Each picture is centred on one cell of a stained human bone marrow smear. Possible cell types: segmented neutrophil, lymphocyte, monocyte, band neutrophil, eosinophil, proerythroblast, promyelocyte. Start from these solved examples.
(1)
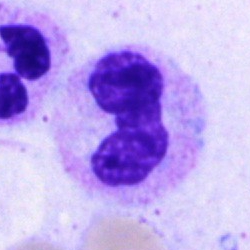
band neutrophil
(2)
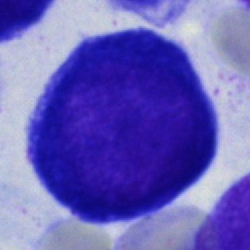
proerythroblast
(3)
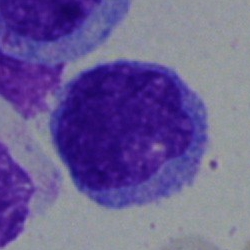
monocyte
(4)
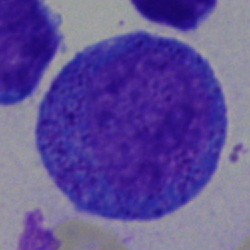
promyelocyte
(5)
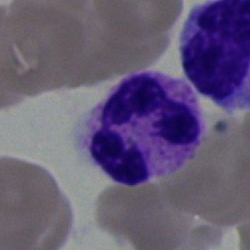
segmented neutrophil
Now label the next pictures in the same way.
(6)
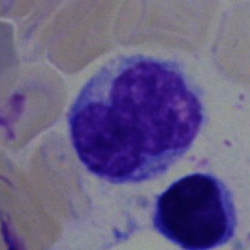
monocyte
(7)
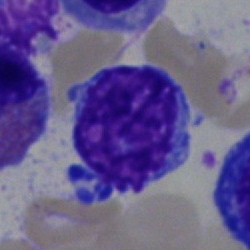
lymphocyte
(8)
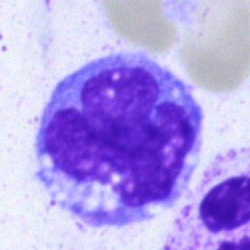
monocyte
